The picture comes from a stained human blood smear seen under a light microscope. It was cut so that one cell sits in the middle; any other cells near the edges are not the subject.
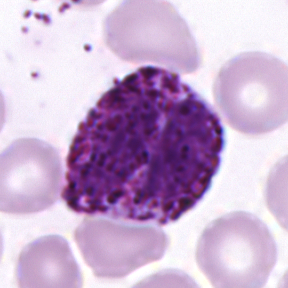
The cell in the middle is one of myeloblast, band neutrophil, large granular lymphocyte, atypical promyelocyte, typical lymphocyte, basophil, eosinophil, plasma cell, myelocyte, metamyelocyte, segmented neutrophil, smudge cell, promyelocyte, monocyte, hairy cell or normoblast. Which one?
basophil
